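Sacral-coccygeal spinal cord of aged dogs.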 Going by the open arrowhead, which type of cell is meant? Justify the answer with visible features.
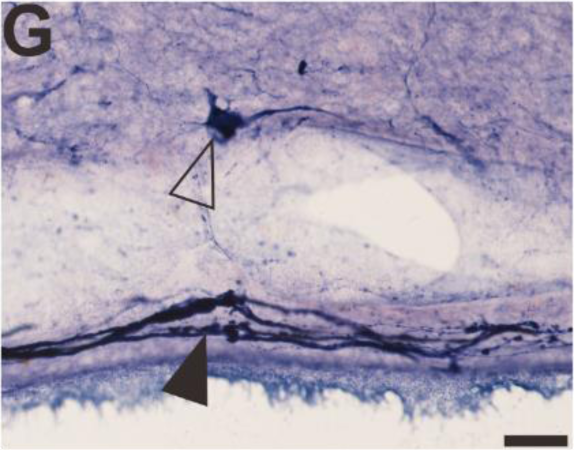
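Neurons. A dark blue cell body gives off long processes. It lies in the tissue above an empty lumen.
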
